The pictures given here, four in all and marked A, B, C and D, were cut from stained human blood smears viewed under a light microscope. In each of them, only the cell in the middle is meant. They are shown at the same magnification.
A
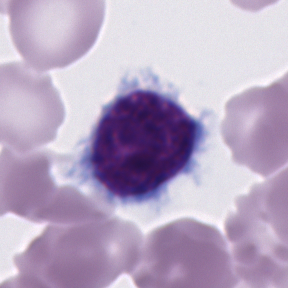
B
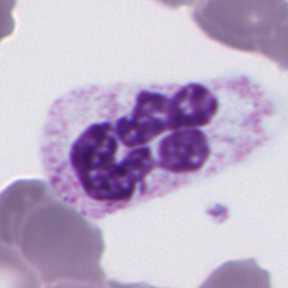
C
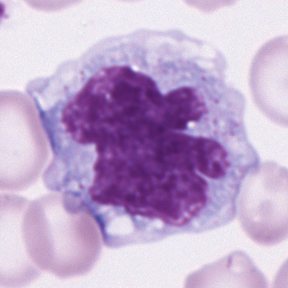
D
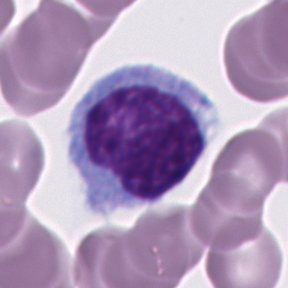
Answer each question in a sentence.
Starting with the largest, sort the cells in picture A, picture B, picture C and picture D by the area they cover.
Largest first: C, B, D, A.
